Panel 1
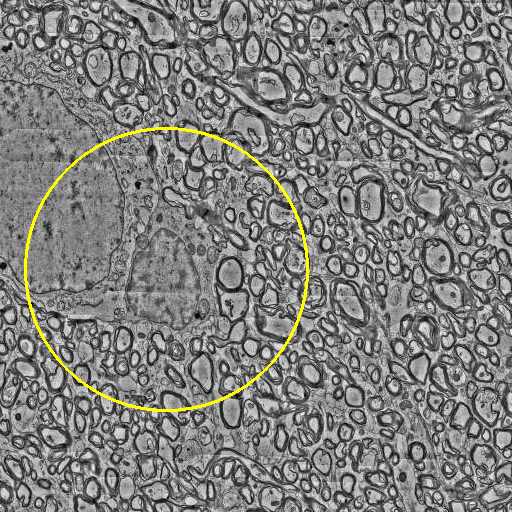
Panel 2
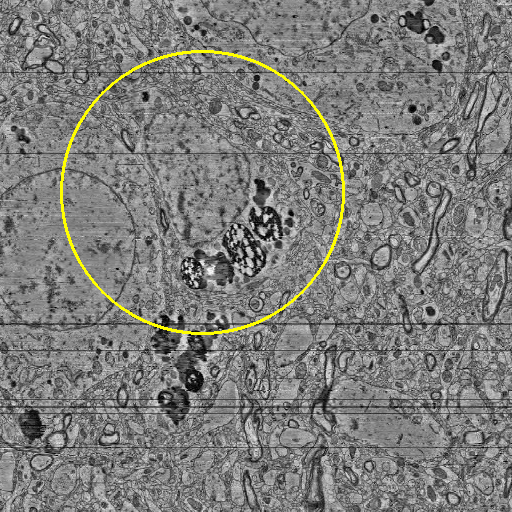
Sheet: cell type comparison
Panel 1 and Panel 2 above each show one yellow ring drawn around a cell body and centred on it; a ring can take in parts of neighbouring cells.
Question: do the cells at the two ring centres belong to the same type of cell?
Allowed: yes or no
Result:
no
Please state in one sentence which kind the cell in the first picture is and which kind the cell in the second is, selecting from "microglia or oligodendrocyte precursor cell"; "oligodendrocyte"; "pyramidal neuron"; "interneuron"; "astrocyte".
The first ringed cell is an oligodendrocyte, the second ringed cell an astrocyte.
